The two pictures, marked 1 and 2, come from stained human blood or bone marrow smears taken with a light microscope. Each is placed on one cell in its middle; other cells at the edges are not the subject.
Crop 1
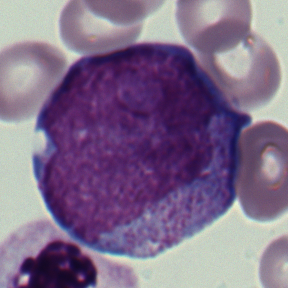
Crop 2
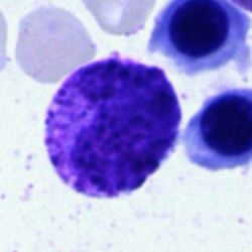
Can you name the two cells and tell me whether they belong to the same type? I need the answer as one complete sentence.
No, a promyelocyte is in crop 1, while a basophil is in crop 2.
